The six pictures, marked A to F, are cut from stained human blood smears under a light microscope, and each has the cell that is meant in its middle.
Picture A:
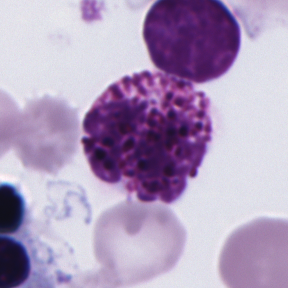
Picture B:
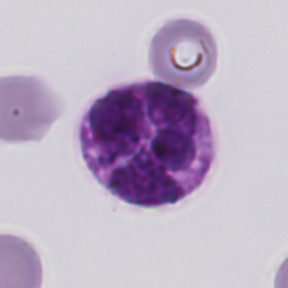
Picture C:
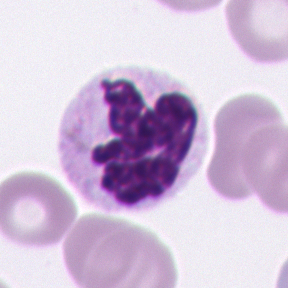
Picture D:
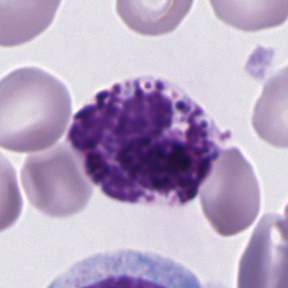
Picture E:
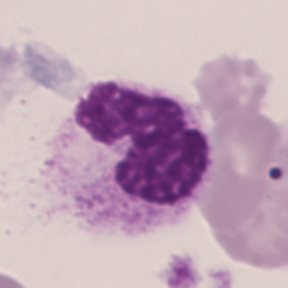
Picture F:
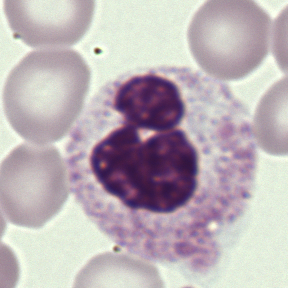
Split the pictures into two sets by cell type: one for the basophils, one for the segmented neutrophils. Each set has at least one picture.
A: basophil
B: basophil
C: segmented neutrophil
D: basophil
E: segmented neutrophil
F: segmented neutrophil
